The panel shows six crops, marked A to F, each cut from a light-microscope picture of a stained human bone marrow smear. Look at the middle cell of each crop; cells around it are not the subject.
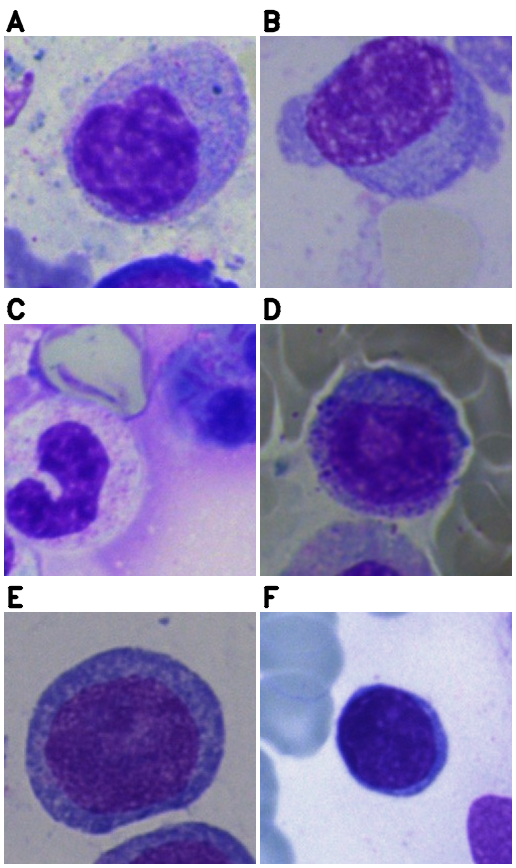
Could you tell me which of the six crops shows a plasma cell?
B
